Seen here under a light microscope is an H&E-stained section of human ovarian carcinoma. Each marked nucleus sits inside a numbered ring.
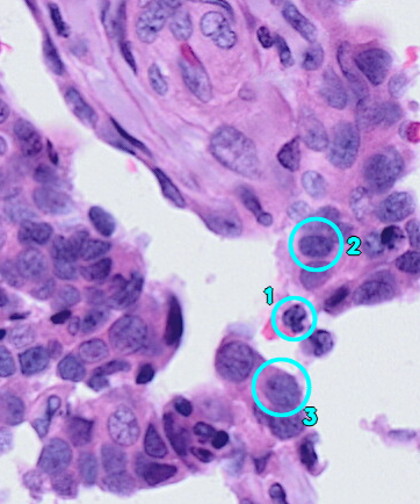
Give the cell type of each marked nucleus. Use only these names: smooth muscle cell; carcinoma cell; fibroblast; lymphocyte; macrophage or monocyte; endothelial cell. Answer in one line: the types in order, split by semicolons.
lymphocyte; carcinoma cell; carcinoma cell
